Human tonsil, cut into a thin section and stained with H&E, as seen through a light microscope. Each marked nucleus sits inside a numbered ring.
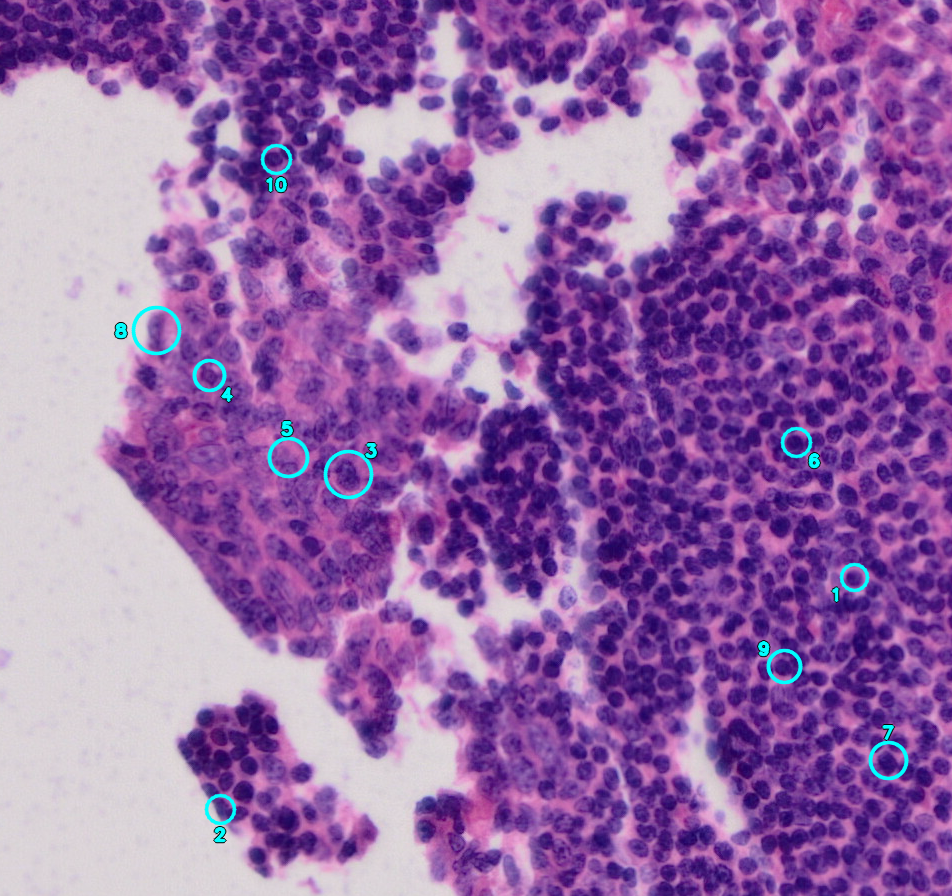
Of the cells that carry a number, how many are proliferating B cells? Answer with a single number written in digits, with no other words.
4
